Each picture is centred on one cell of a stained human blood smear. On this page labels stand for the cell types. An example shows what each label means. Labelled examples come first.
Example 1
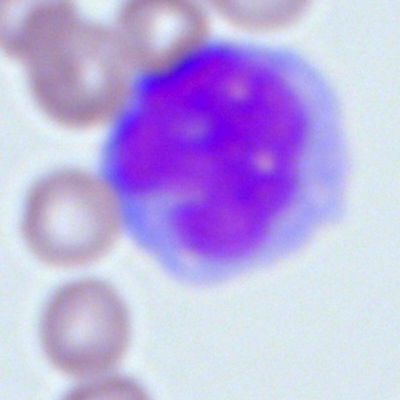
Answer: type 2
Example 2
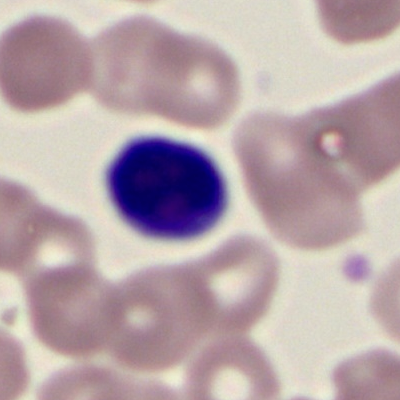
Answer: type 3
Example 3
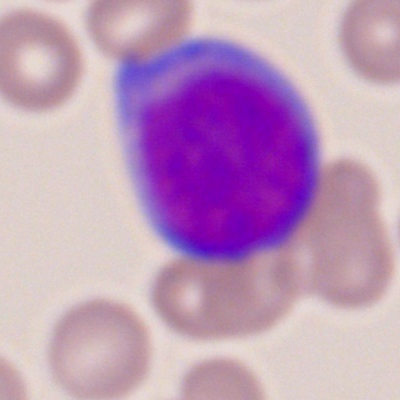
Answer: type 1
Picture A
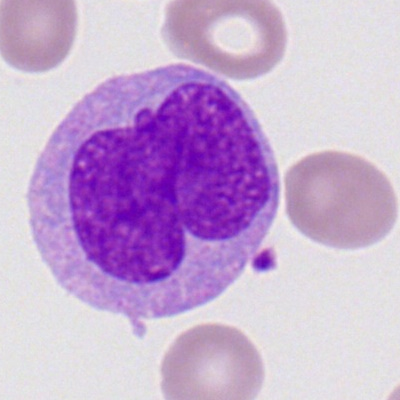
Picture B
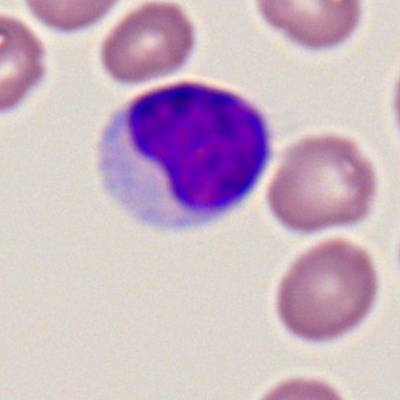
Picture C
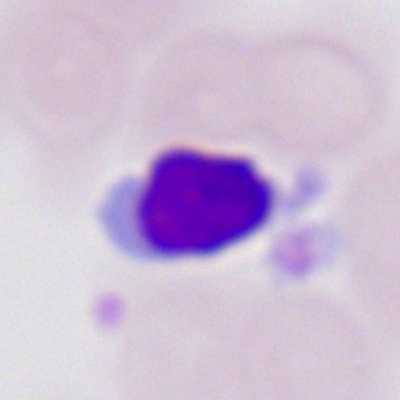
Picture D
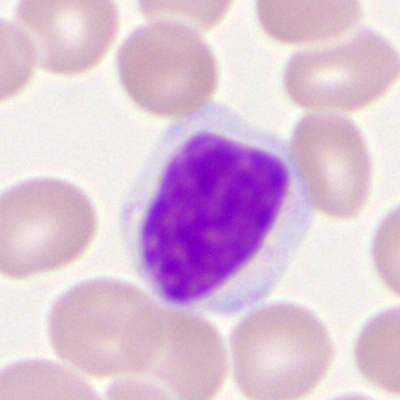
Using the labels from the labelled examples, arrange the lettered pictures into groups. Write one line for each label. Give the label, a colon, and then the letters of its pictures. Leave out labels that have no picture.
type 2: A
type 3: B, C, D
